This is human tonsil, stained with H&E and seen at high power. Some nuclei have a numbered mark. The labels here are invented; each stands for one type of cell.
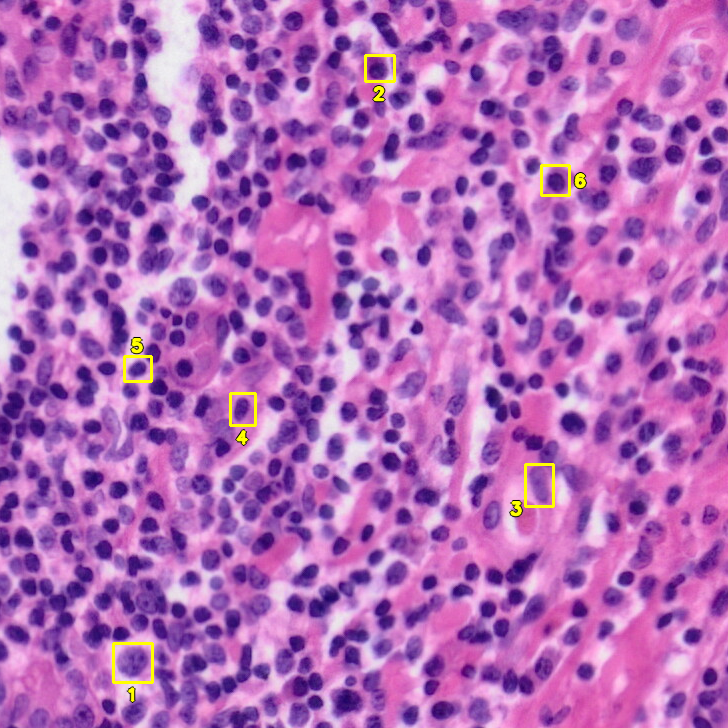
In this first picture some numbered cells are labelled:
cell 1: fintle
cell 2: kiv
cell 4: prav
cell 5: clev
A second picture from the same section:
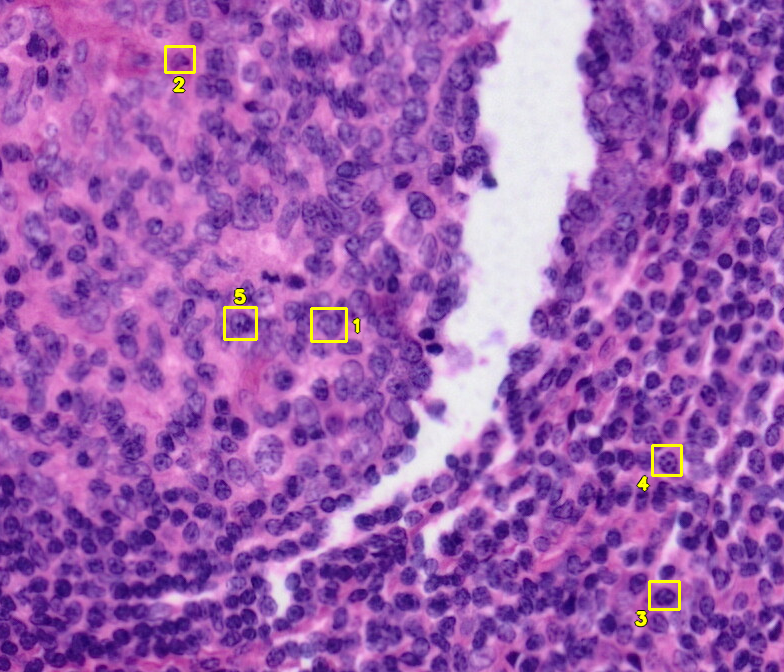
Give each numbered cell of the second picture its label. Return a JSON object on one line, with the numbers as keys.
{"1": "fintle", "2": "prav", "3": "kiv", "4": "kiv", "5": "fintle"}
